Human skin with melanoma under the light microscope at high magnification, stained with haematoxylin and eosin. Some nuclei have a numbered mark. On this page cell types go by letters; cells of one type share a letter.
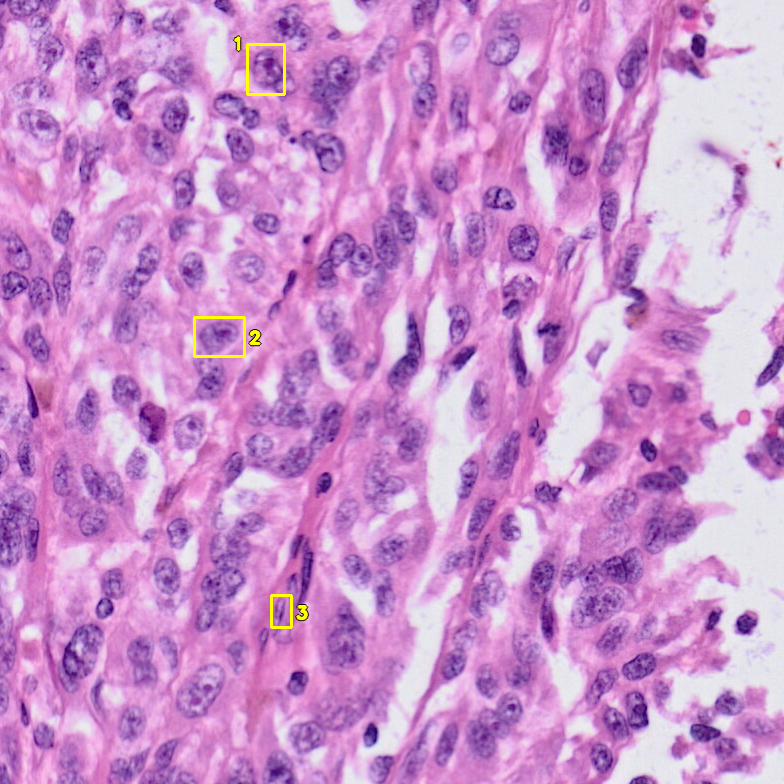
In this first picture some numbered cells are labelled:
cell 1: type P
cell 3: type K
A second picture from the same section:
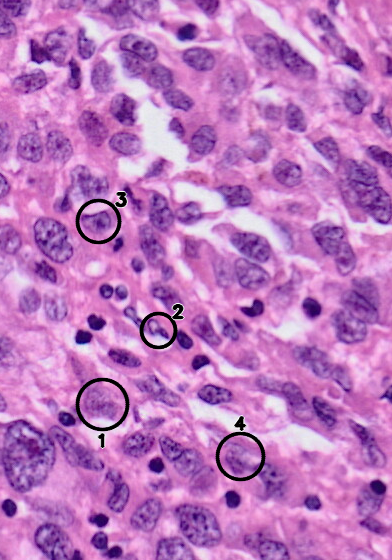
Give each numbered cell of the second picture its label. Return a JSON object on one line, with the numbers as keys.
{"1": "type P", "2": "type K", "3": "type P", "4": "type P"}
